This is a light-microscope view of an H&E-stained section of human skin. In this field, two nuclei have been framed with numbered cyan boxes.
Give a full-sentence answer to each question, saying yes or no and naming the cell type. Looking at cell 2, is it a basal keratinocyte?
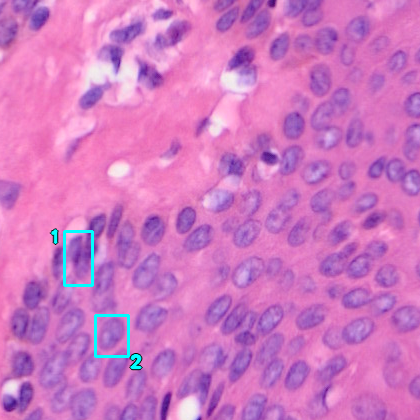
No, cell 2 is not a basal keratinocyte; it is a suprabasal keratinocyte.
